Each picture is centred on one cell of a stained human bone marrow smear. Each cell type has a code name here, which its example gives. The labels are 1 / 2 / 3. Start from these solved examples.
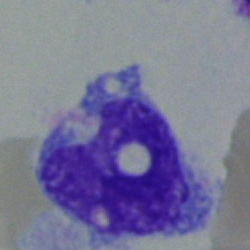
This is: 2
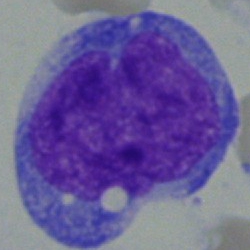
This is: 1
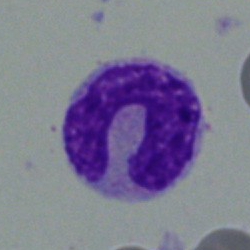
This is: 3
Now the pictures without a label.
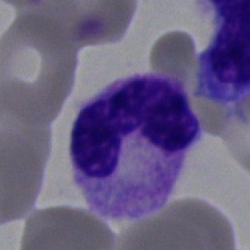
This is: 3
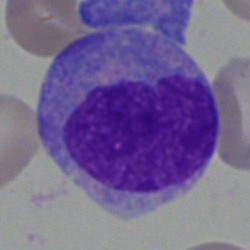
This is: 2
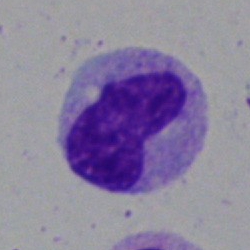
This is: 3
